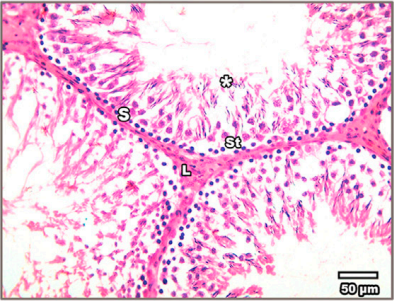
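Several cross-sectioned seminiferous tubules meet at a narrow pink strip of interstitial tissue containing cells of Leydig. Each tubule is lined by a multilayered epithelium, with a row of dark-blue basal nuclei at the edge and elongated cells arranged in radial bundles toward the central lumen.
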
